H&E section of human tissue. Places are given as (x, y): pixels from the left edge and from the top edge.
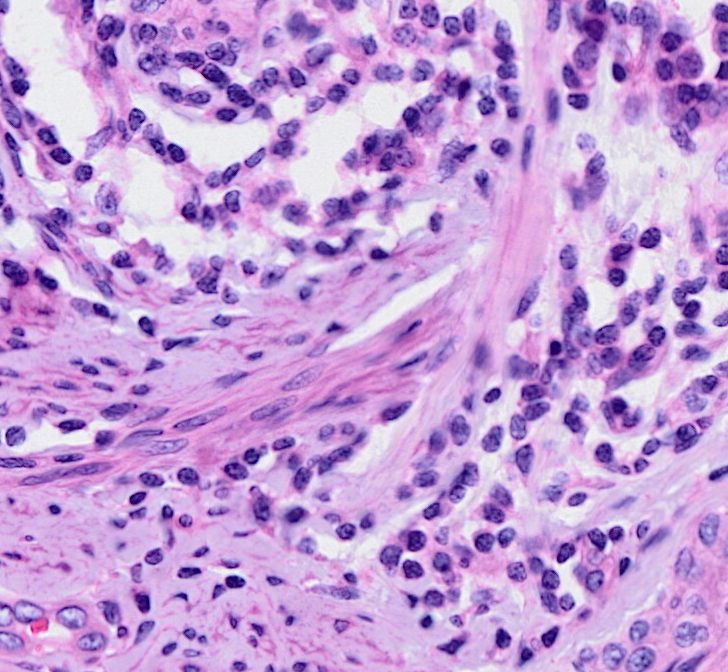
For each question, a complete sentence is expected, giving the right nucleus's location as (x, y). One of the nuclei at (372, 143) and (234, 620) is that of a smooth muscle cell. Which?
The nucleus at (234, 620) is part of a smooth muscle cell, while the other is not.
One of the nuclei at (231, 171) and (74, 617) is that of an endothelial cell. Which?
That would be the nucleus at (74, 617); it belongs to an endothelial cell.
